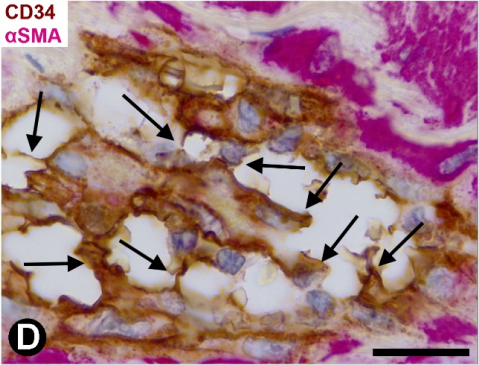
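High magnification of endothelial cells stained brown forming thin bridges that divide a space into many small clear lumens. The cells have oval, pale blue nuclei and thin brown cytoplasmic extensions outlining the empty spaces. Red-stained tissue borders the field at the upper right and upper edge.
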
